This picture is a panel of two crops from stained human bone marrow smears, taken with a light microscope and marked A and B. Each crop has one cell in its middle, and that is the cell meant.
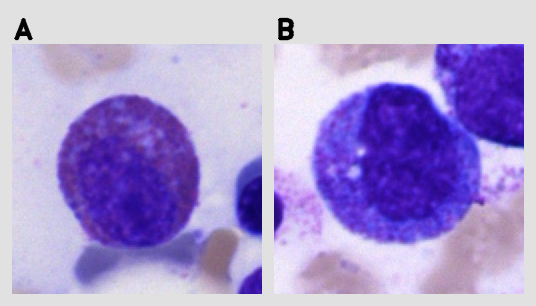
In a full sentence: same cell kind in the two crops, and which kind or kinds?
No, crop A contains an eosinophil, while crop B contains a promyelocyte.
